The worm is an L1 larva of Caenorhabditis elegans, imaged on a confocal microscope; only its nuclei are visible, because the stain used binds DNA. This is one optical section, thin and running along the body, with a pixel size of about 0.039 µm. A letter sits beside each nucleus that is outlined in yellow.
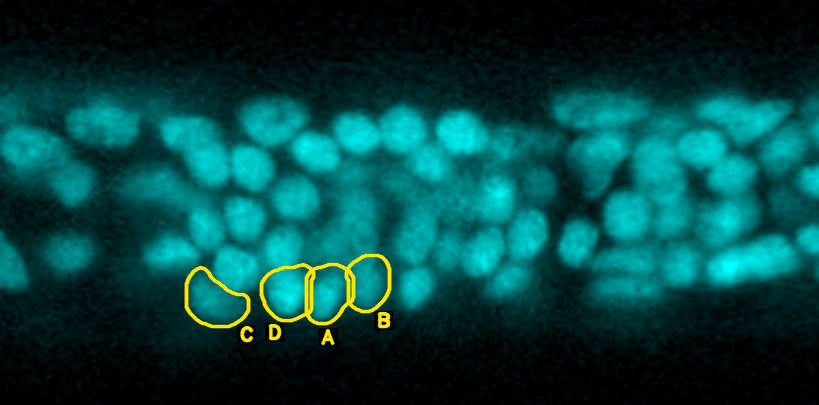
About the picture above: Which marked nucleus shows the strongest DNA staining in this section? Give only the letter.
D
